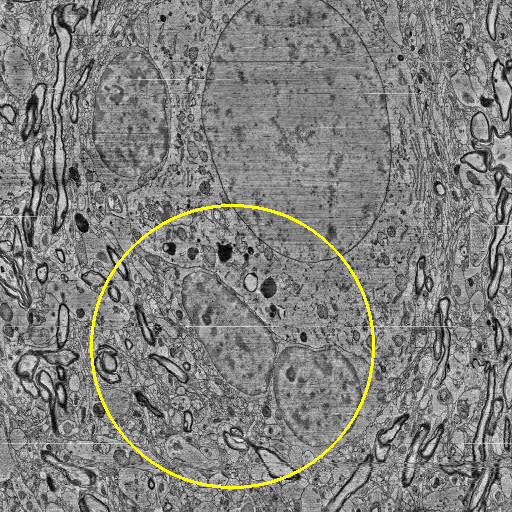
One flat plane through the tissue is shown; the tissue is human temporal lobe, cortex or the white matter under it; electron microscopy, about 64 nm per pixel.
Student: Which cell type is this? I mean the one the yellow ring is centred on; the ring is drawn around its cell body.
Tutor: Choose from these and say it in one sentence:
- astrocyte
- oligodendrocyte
The cell the ring is centred on is an oligodendrocyte.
